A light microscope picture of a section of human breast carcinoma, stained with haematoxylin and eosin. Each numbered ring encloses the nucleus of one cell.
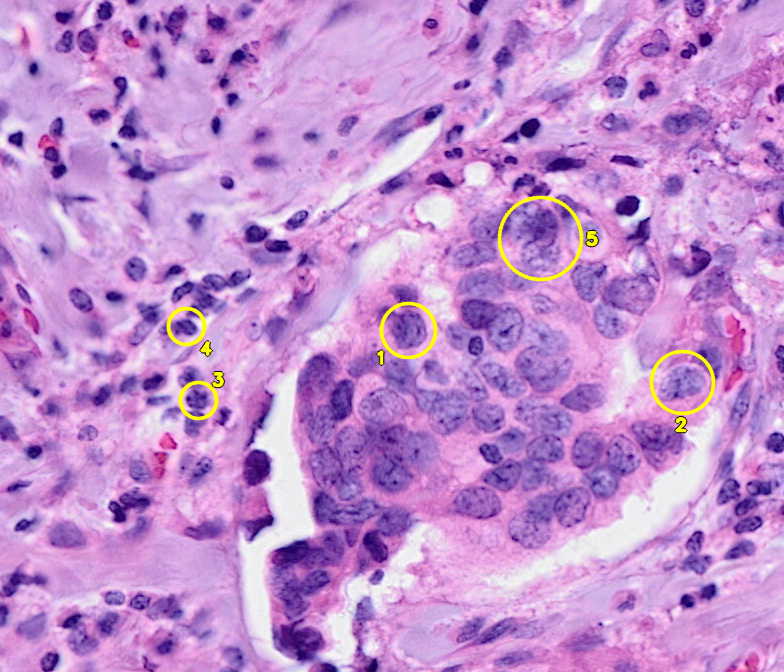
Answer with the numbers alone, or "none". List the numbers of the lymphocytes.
3, 4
